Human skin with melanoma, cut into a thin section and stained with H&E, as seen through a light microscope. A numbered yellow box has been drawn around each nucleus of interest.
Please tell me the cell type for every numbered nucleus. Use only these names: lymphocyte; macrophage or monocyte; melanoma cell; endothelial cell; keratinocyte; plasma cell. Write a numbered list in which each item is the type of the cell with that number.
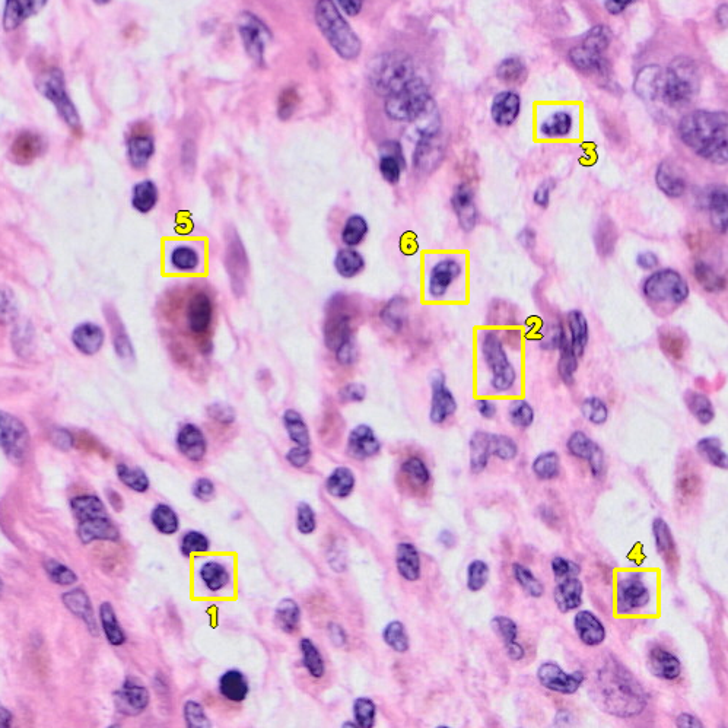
1. lymphocyte
2. macrophage or monocyte
3. lymphocyte
4. macrophage or monocyte
5. lymphocyte
6. lymphocyte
